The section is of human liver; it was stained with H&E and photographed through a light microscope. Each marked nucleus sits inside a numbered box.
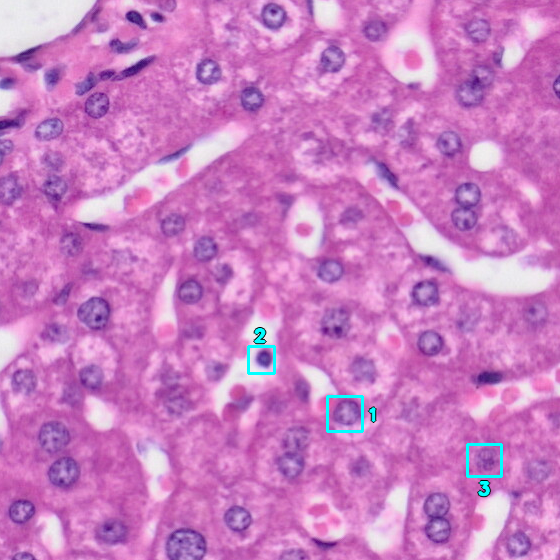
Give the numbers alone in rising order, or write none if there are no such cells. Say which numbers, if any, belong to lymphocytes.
2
